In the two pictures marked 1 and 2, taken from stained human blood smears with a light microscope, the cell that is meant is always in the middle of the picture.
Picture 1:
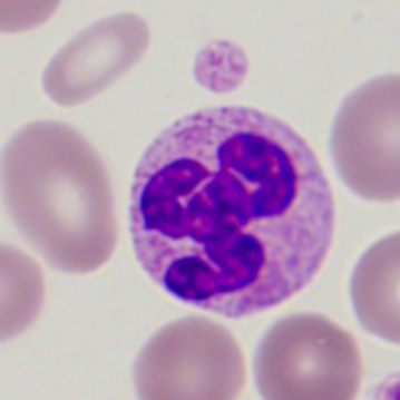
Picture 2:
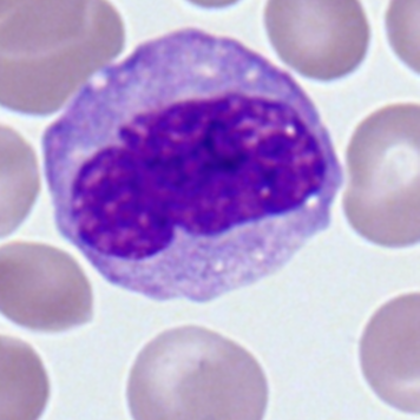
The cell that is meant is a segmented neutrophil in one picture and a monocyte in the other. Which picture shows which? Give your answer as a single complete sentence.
It is picture 1 that shows a segmented neutrophil, and picture 2 that shows a monocyte.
